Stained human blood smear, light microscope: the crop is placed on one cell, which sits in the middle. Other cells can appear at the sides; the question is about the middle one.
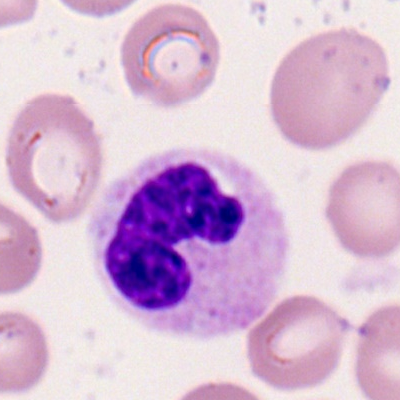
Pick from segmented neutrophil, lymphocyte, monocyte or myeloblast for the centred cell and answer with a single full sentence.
The cell of interest, in the center, is a segmented neutrophil.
